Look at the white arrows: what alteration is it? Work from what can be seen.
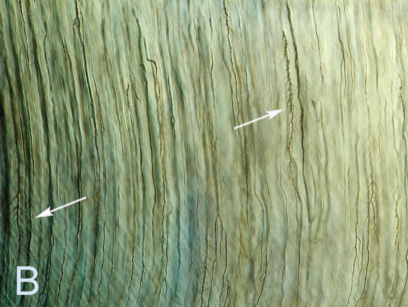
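Variation in width and branching of some dentin tubuli. Parallel dark tubules run across the field. The tubules at the arrows are wavier and uneven in width, with small side branches.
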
